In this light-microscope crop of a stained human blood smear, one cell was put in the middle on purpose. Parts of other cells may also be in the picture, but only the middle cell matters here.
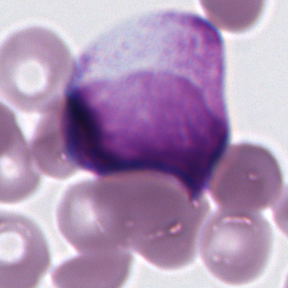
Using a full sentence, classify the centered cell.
This particular crop is centered on an atypical promyelocyte.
